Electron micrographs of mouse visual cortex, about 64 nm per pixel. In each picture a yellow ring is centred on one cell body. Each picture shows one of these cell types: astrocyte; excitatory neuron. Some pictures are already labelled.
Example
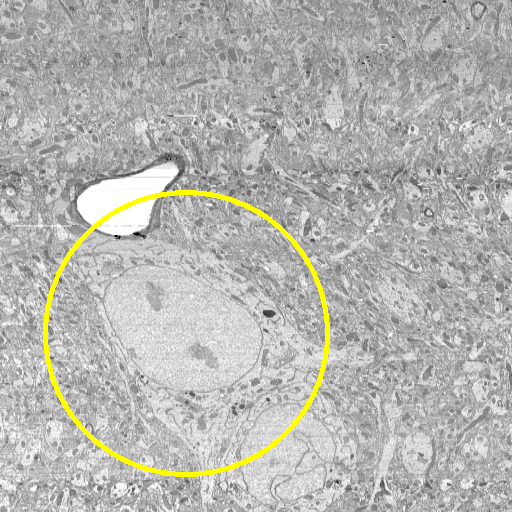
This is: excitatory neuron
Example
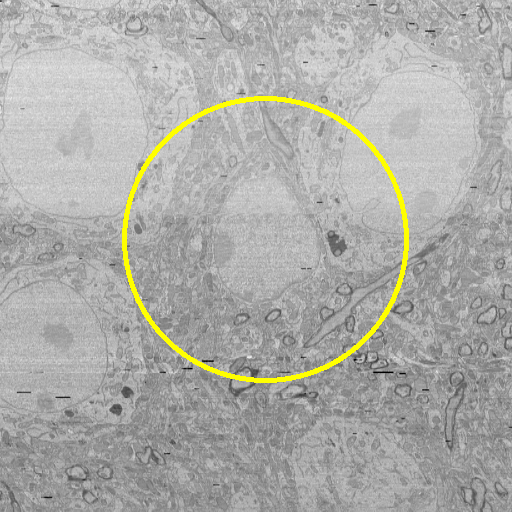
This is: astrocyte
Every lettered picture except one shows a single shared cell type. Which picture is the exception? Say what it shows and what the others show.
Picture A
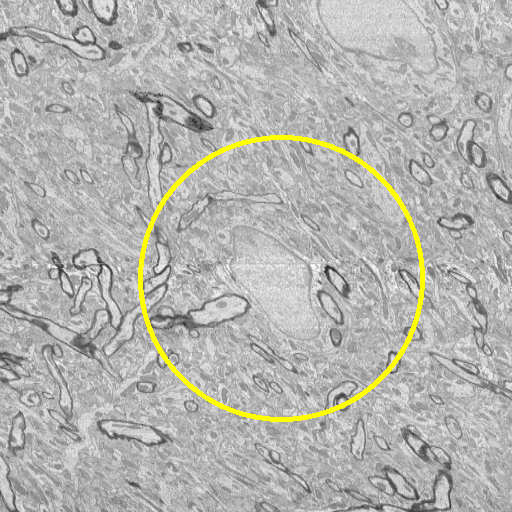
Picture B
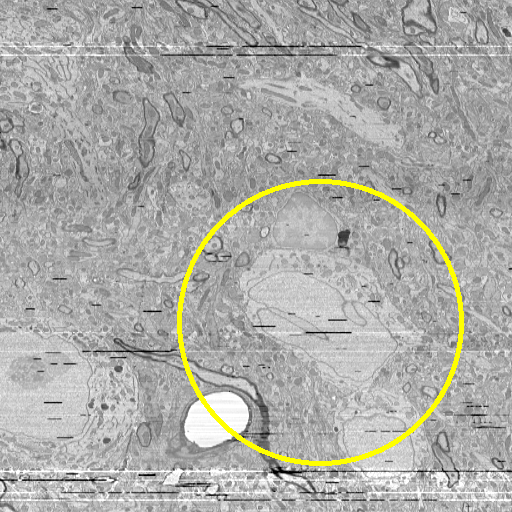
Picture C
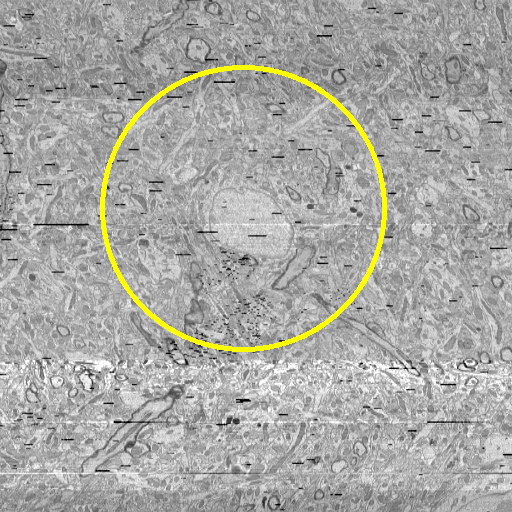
Exception: B, showing excitatory neuron. Remaining pictures: astrocyte.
